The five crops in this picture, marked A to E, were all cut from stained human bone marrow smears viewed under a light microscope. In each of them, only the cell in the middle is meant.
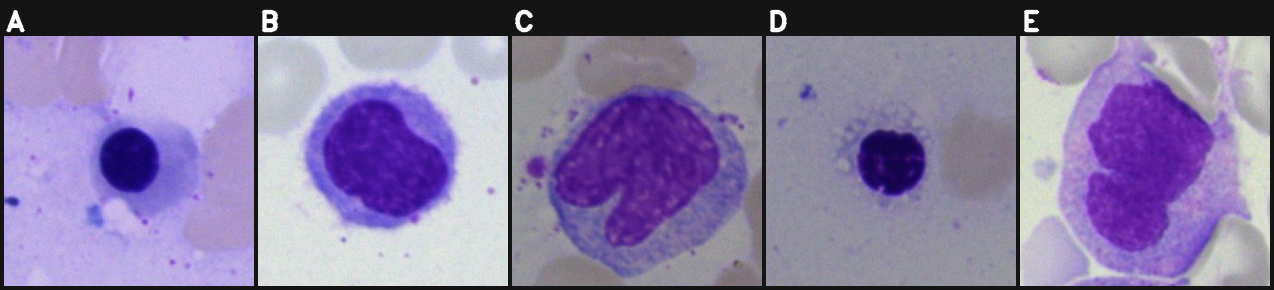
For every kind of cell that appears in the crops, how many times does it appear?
monocyte: 3
erythroblast: 2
